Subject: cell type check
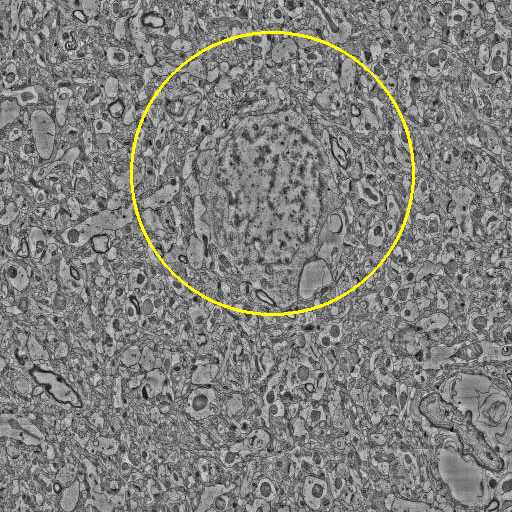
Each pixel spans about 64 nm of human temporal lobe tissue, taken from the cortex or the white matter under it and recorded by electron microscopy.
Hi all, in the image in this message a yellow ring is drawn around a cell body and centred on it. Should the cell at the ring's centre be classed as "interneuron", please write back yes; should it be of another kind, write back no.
yes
